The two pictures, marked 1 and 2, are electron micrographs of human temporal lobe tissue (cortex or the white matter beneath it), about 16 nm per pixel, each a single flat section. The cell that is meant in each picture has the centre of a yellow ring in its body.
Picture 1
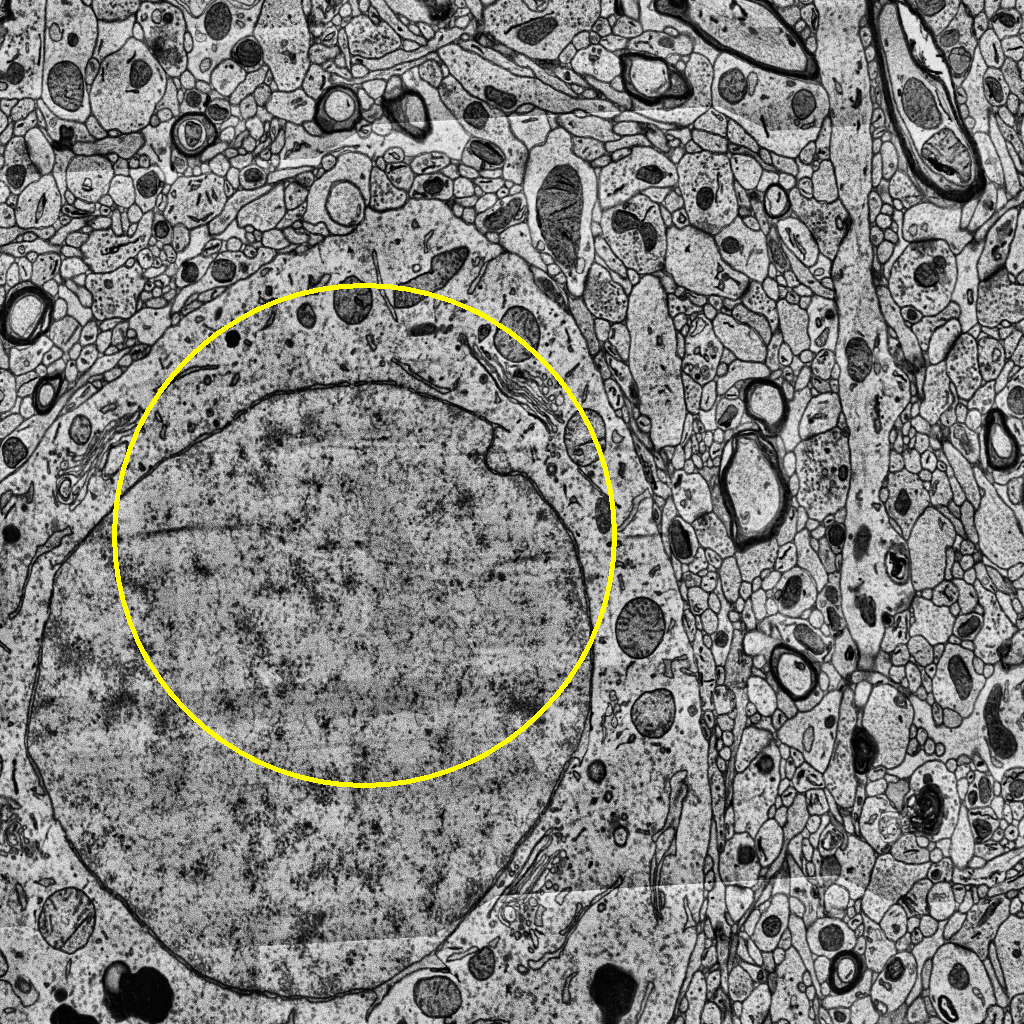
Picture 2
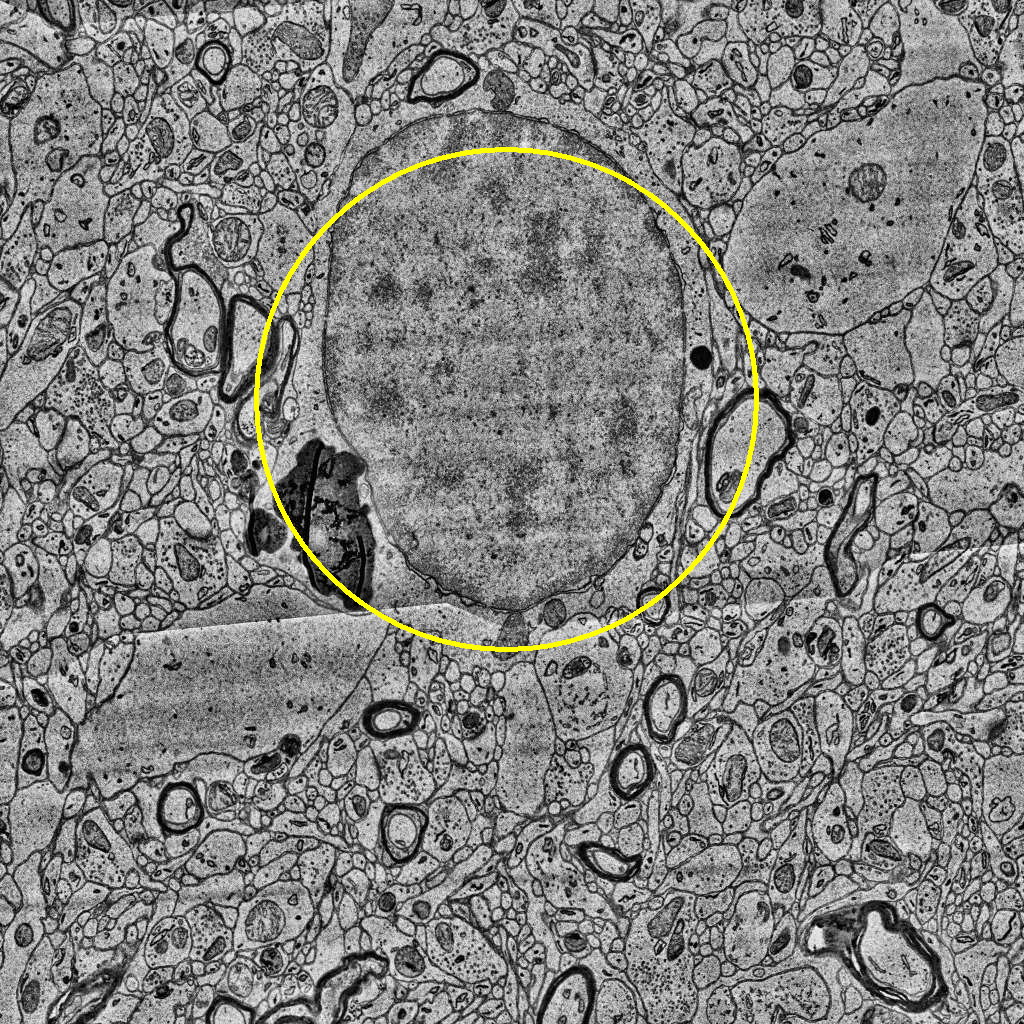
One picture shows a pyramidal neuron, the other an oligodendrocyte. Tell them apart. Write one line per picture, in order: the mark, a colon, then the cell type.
1: pyramidal neuron
2: oligodendrocyte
